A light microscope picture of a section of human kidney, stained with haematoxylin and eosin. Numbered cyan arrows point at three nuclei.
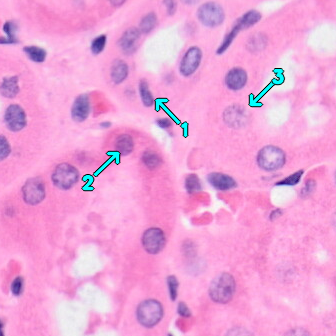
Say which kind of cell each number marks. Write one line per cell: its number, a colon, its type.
1: collecting duct cell
2: proximal tubule cell
3: proximal tubule cell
